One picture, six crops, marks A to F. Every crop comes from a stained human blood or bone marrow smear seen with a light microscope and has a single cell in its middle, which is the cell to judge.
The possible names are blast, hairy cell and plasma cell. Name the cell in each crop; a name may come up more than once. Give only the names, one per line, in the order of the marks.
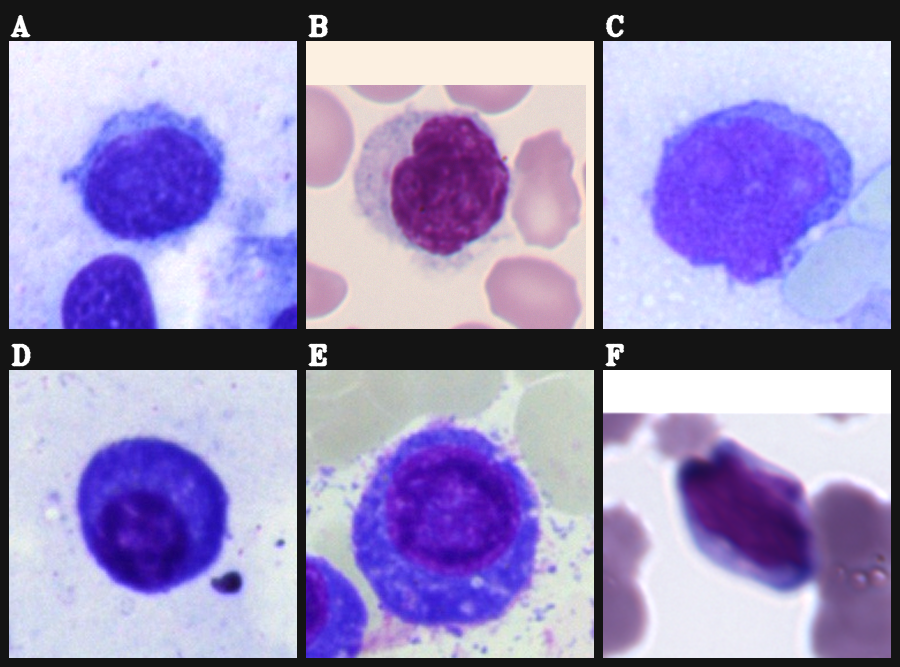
hairy cell
hairy cell
blast
plasma cell
plasma cell
blast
